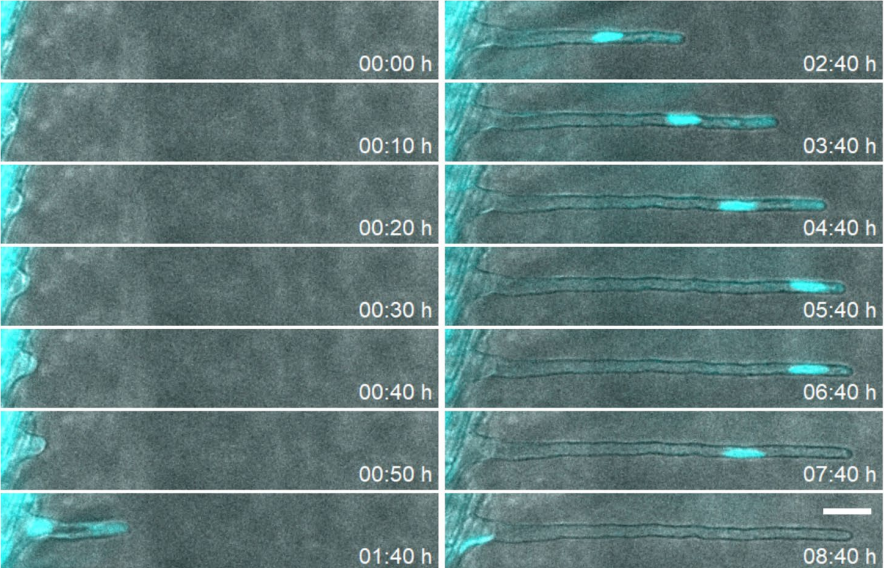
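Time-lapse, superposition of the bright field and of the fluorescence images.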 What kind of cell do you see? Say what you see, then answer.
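A bulge appears on the surface of a cell at the left edge and elongates into a long thin tube. The tube has a rounded tip and grows to the right over successive frames. The answer: root hair cell.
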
